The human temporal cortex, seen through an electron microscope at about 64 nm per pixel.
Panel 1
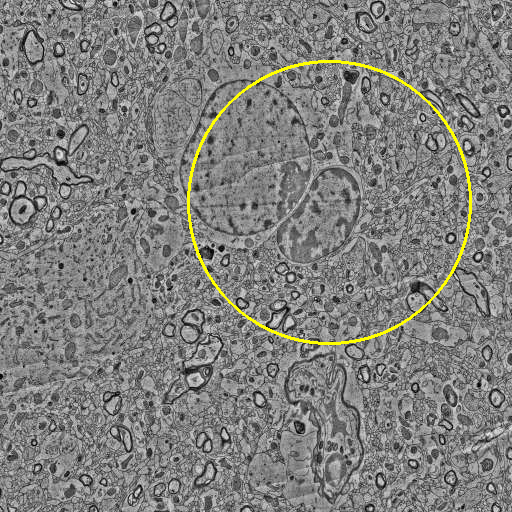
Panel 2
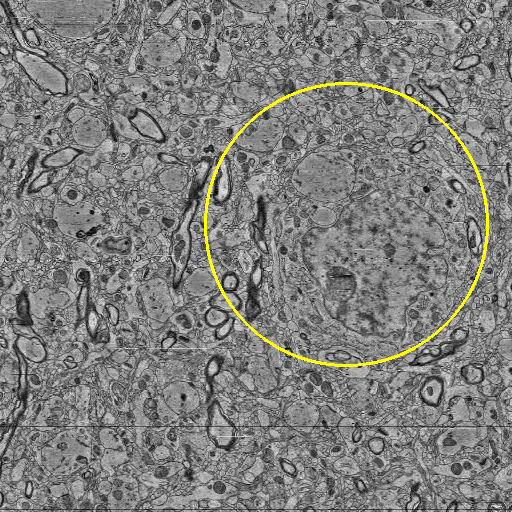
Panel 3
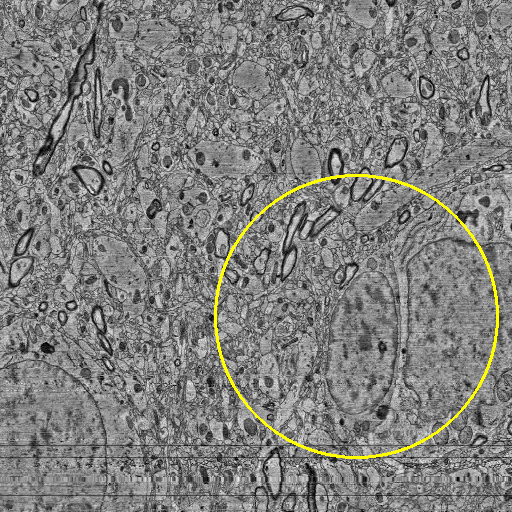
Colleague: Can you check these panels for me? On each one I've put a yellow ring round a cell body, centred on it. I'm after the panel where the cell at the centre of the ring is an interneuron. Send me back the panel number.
2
